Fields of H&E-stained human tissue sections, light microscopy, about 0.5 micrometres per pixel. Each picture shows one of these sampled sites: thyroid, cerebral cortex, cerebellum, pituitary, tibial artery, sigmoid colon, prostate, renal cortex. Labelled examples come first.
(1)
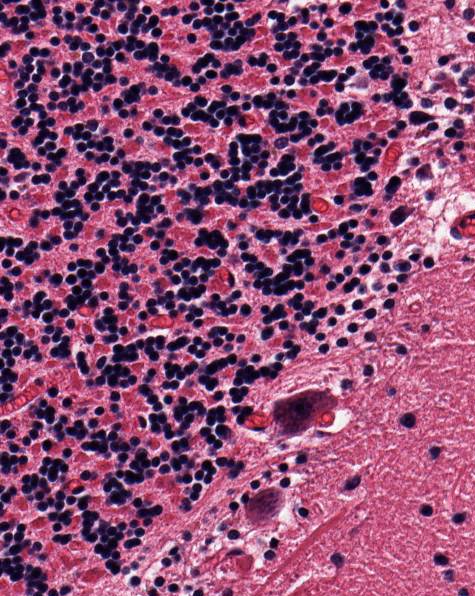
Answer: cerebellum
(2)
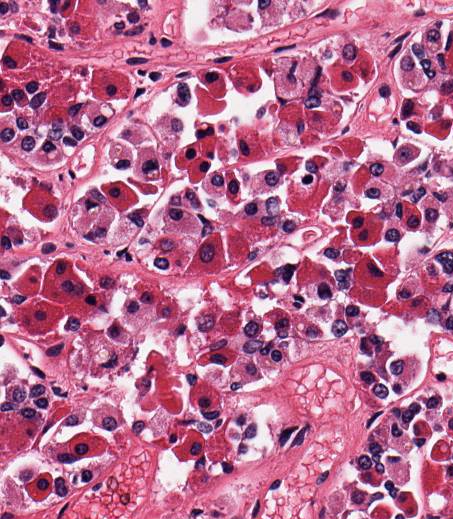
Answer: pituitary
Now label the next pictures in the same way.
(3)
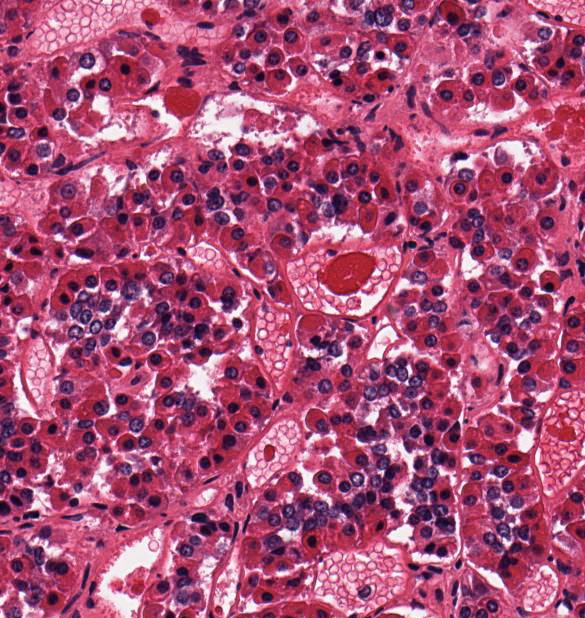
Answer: pituitary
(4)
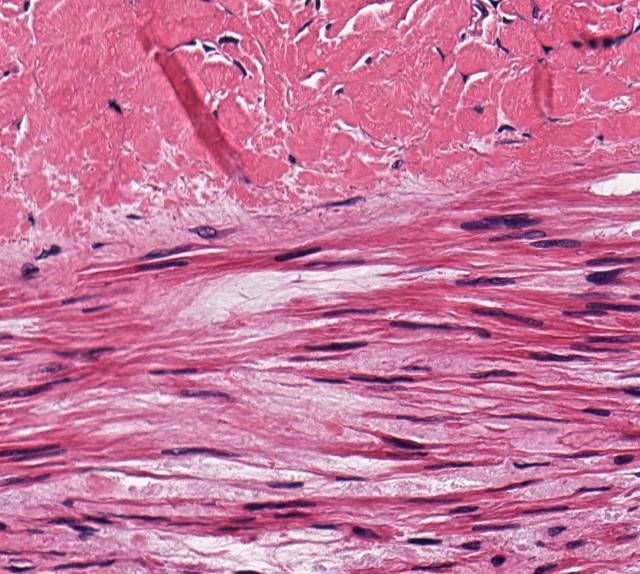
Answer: tibial artery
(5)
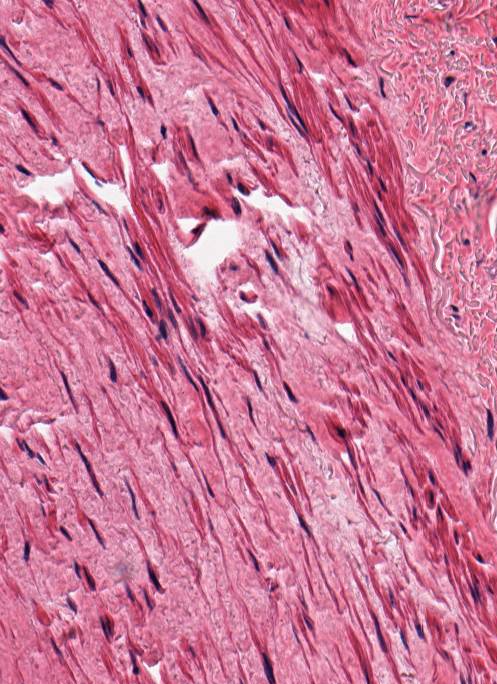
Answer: tibial artery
